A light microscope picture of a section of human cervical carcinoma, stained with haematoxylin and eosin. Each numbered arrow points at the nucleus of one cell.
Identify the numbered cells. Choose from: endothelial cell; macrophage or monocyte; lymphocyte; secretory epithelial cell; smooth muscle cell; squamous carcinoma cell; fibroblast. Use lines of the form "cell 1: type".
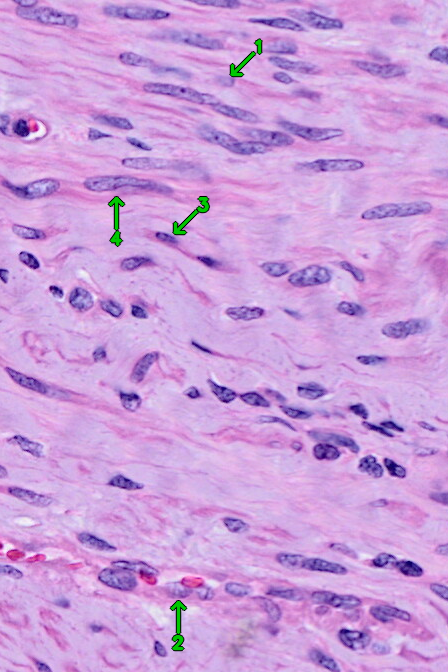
cell 1: smooth muscle cell
cell 2: endothelial cell
cell 3: smooth muscle cell
cell 4: smooth muscle cell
